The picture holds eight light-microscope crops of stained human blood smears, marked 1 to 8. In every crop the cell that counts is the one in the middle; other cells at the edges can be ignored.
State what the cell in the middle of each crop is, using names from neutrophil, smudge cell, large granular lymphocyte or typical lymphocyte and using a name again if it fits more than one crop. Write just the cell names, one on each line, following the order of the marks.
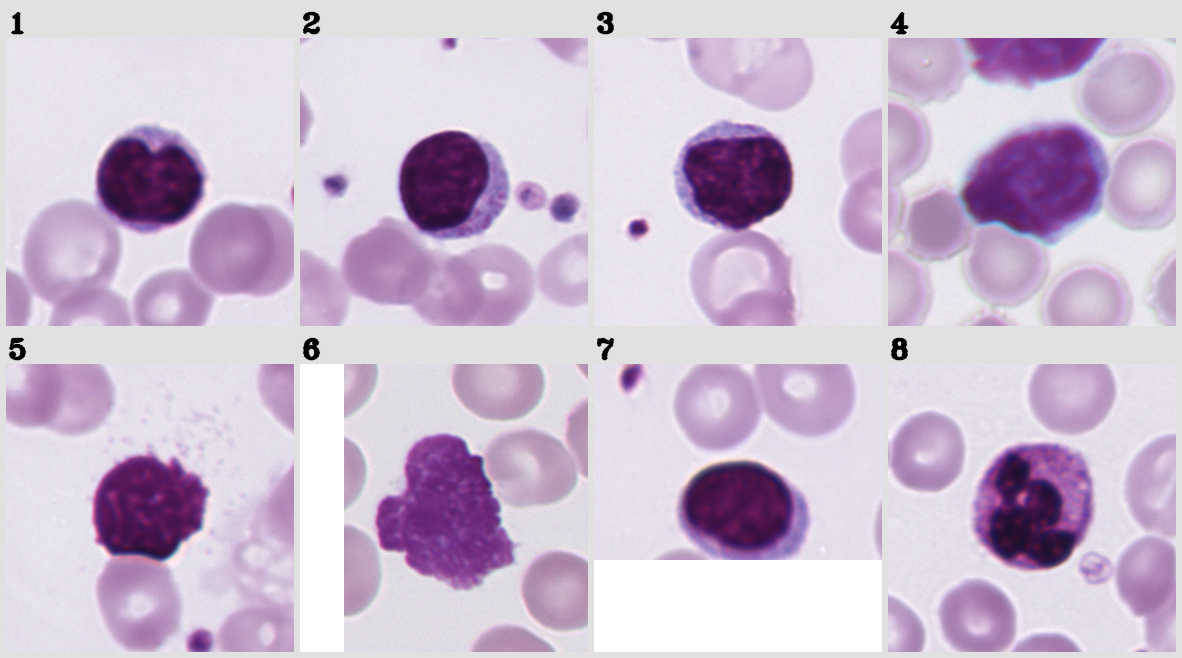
large granular lymphocyte
large granular lymphocyte
typical lymphocyte
typical lymphocyte
smudge cell
smudge cell
typical lymphocyte
neutrophil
